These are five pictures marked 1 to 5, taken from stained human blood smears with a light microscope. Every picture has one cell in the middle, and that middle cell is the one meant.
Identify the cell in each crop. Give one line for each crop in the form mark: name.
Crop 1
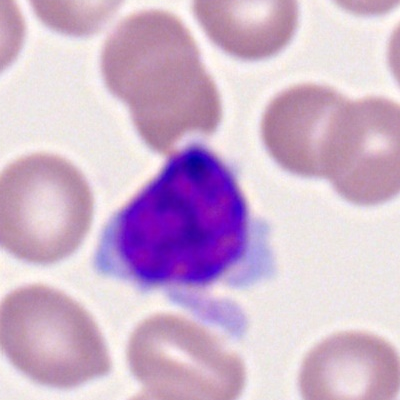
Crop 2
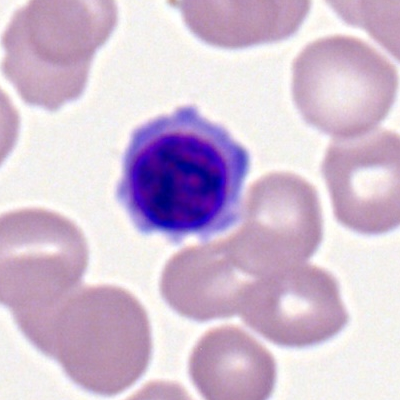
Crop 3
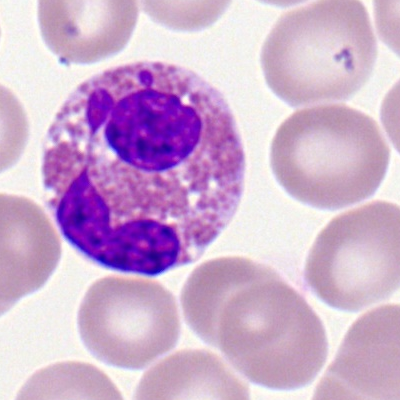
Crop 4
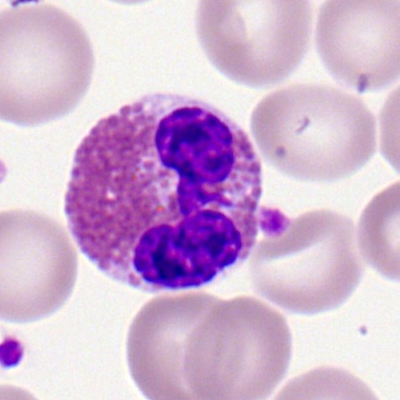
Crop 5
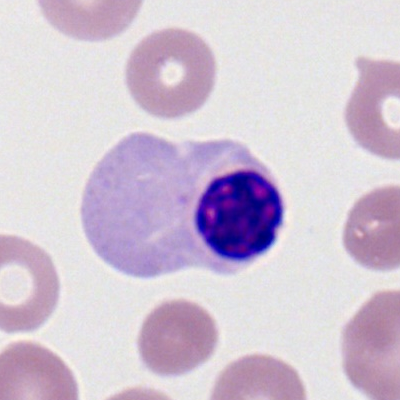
1: lymphocyte
2: erythroblast
3: eosinophil
4: eosinophil
5: erythroblast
